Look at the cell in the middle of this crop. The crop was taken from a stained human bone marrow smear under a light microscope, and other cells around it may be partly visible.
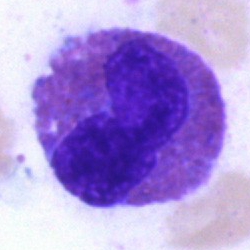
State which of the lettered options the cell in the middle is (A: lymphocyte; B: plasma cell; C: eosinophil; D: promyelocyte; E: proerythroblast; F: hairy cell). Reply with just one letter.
C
